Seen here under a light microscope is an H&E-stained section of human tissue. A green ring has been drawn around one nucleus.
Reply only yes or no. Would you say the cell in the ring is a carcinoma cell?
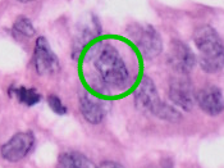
no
